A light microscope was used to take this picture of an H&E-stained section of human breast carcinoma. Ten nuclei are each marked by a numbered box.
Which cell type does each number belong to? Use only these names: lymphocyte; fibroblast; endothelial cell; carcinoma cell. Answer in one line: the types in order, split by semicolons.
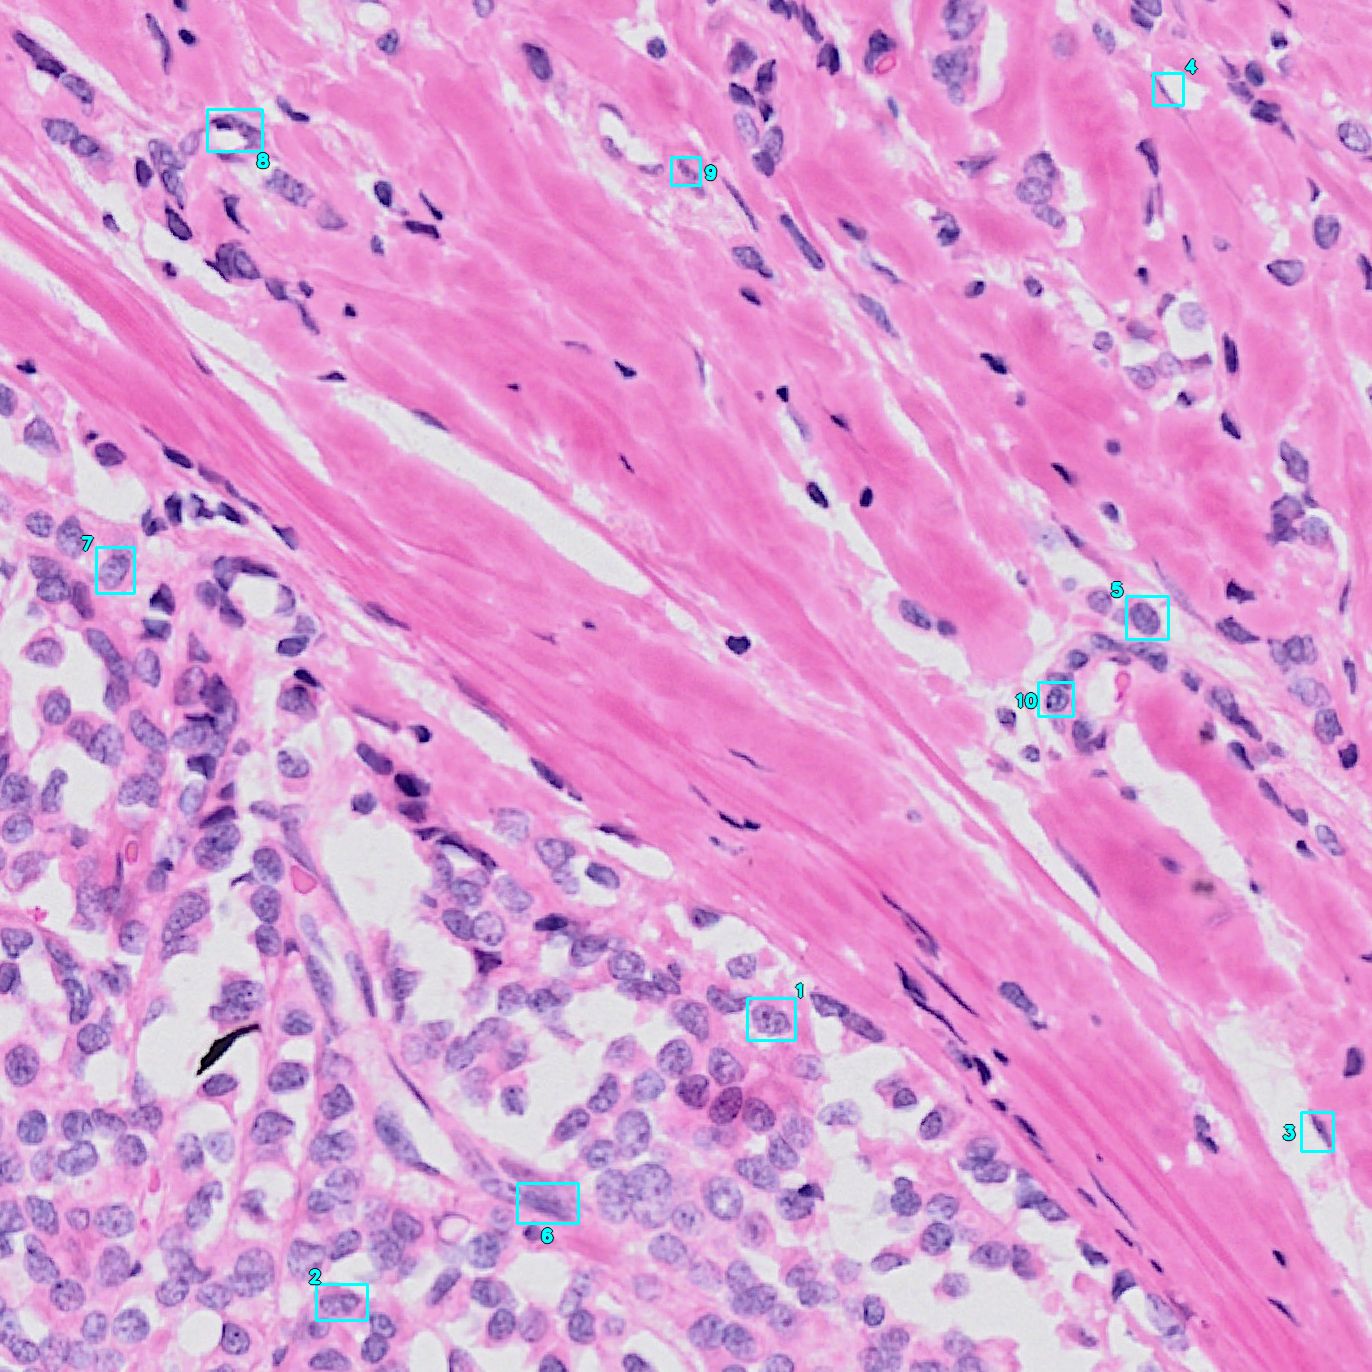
carcinoma cell; carcinoma cell; fibroblast; fibroblast; carcinoma cell; endothelial cell; carcinoma cell; endothelial cell; fibroblast; endothelial cell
